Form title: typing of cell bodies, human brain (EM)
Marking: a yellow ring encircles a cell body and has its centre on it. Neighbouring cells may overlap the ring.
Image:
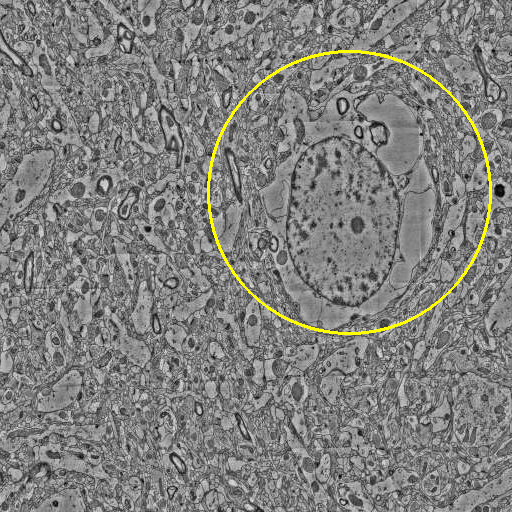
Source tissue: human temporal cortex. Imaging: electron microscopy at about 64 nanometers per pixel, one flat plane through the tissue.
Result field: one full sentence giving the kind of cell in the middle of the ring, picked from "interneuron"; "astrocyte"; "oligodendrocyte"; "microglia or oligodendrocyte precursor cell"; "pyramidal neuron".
In the picture, the ring is centred on an astrocyte, whose cell body it encircles.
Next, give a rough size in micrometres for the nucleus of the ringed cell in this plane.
In this plane, the nucleus of the cell at the centre of the ring measures about 11 by 7 micrometres.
